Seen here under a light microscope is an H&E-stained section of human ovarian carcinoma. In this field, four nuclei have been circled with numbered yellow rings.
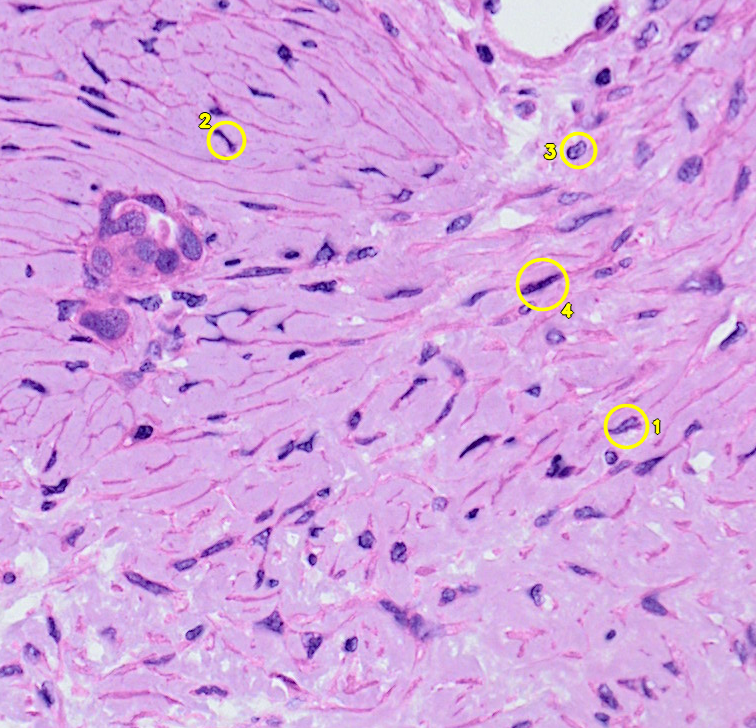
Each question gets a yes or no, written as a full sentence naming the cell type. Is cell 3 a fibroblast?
No, the cell given the number 3 is a lymphocyte, so not a fibroblast.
